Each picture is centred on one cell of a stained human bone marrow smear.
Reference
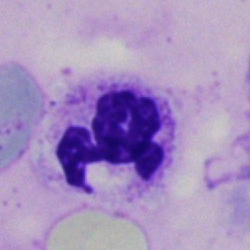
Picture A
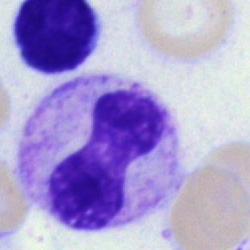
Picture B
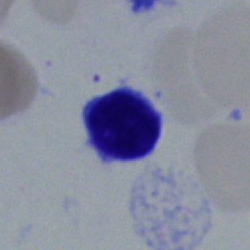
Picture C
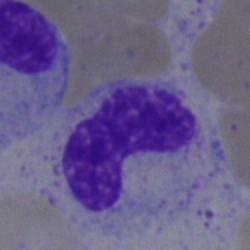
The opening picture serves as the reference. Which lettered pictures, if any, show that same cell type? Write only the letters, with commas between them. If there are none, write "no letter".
no letter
